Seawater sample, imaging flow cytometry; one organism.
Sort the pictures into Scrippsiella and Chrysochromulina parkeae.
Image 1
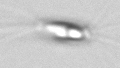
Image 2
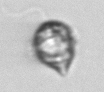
Chrysochromulina parkeae: 1
Scrippsiella: 2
